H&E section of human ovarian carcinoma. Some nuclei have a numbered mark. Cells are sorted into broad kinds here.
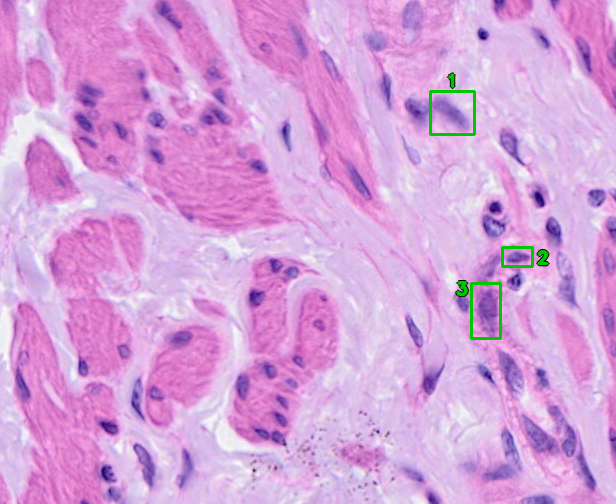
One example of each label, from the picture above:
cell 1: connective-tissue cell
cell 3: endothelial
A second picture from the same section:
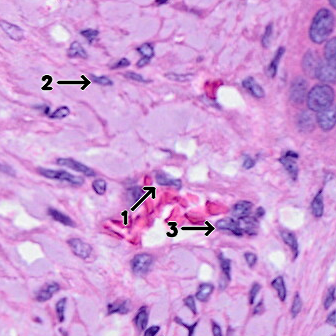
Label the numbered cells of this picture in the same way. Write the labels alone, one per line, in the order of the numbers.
endothelial
connective-tissue cell
endothelial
